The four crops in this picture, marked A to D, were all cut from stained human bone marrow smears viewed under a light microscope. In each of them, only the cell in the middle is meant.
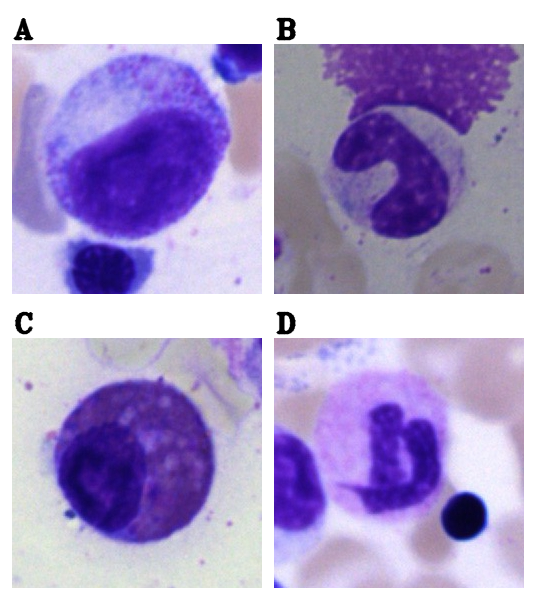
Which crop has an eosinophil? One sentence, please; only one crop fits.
As for which crop shows an eosinophil, it is crop C.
